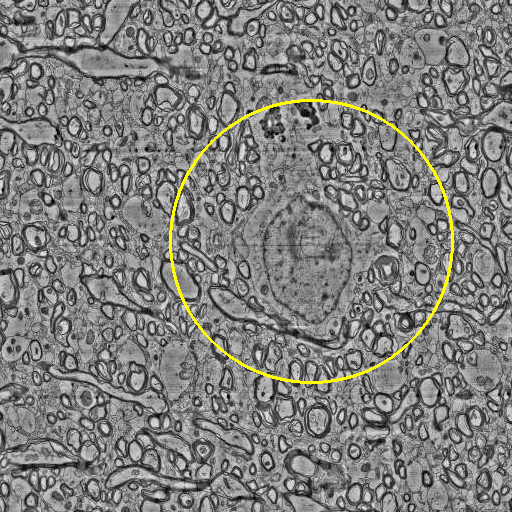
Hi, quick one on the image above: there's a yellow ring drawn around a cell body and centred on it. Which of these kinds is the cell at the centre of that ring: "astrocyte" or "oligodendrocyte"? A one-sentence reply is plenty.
The cell at the centre of the ring is an astrocyte.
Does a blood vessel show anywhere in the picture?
No, none is visible.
